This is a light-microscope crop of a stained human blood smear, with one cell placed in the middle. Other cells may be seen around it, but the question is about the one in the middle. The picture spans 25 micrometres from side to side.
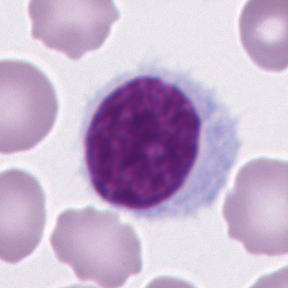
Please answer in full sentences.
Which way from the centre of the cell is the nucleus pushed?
The nucleus sits off-centre, toward the left.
